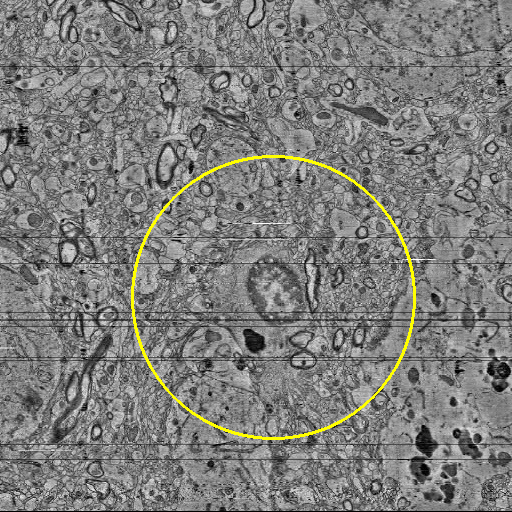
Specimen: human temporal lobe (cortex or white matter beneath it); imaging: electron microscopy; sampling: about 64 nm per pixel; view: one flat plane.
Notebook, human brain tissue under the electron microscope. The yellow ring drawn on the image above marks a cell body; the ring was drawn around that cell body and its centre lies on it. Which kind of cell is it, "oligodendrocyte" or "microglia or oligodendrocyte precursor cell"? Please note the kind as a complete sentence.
The marked cell body is that of an oligodendrocyte.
